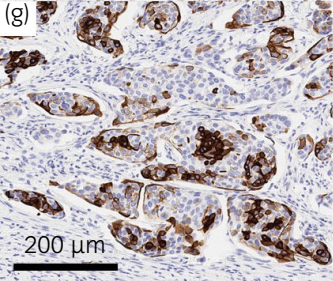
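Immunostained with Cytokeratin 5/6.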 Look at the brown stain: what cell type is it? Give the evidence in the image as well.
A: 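Brown staining lies in cells within epithelial clusters. Only part of the cells in each cluster is brown, often at the cluster edges. Stroma between clusters is unstained.
Hence: tumor cells.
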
